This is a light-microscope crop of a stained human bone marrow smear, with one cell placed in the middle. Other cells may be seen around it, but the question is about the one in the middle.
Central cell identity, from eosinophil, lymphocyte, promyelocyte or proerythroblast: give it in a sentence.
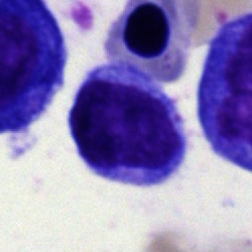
The center cell of this crop is a lymphocyte.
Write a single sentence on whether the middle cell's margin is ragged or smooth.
Thanks for asking; the cell edge is smooth and has no projections.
